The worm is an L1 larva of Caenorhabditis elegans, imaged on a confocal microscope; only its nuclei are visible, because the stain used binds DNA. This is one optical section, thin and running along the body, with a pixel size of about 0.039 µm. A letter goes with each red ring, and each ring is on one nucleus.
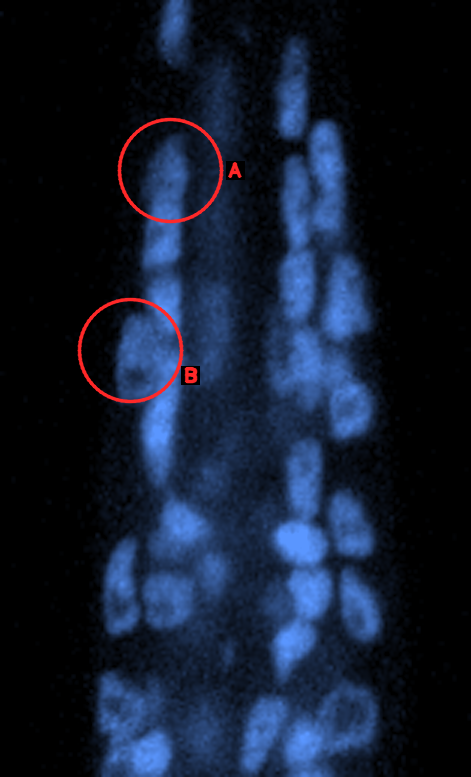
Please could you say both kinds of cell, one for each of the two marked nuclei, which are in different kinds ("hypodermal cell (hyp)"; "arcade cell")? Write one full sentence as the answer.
A is from an arcade cell, and B is from a hypodermal cell (hyp).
